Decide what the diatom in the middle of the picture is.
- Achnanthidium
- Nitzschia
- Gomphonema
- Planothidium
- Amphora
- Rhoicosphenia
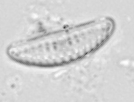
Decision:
Amphora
